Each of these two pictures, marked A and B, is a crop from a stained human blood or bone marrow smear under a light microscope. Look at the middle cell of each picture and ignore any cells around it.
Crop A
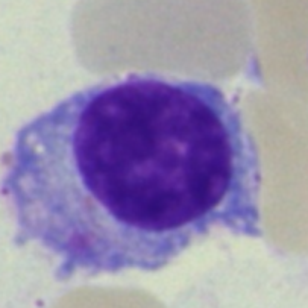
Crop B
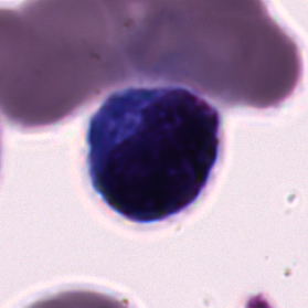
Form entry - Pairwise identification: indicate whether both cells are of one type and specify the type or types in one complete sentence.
Yes, the crops both have plasma cells in the middle.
